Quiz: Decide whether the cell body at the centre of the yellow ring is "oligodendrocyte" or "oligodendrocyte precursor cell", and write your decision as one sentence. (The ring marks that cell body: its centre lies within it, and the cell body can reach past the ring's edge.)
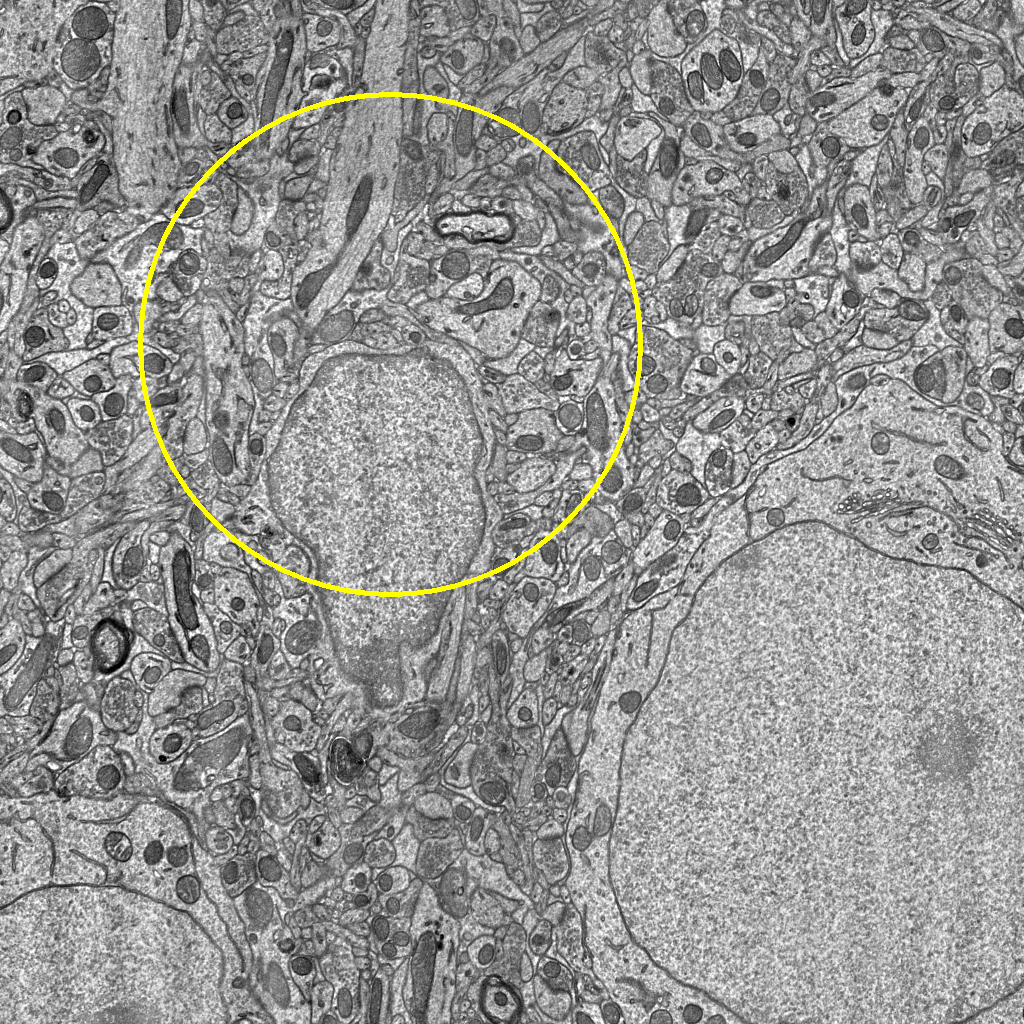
The cell holding the ring's centre is an oligodendrocyte precursor cell.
